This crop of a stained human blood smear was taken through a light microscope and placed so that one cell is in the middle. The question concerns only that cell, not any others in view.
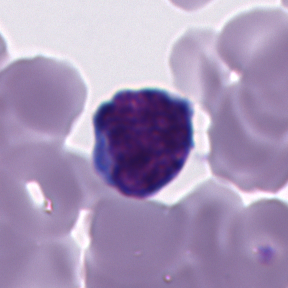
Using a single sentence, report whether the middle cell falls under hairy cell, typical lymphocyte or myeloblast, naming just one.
Answering briefly, the cell in the middle is a typical lymphocyte.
